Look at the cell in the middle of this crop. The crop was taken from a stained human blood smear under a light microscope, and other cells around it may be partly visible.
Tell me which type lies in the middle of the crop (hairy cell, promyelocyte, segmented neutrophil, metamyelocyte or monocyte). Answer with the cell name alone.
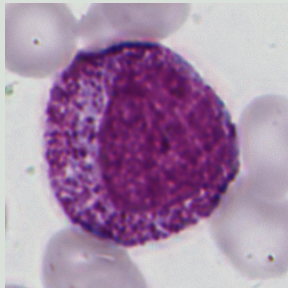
promyelocyte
